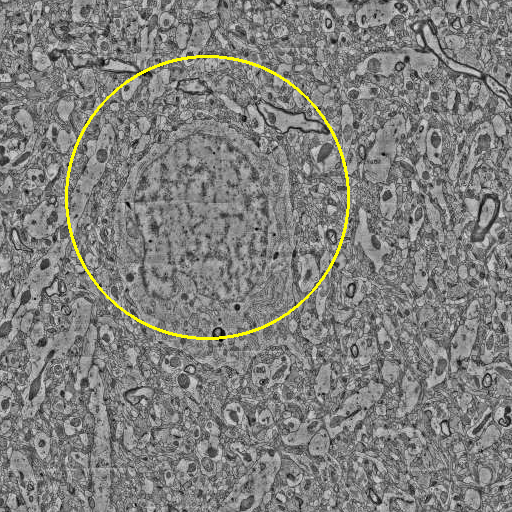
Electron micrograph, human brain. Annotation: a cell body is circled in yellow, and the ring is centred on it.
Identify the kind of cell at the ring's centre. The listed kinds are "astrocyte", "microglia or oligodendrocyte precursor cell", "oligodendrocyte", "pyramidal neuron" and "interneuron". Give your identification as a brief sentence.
The circled cell body is that of an interneuron.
